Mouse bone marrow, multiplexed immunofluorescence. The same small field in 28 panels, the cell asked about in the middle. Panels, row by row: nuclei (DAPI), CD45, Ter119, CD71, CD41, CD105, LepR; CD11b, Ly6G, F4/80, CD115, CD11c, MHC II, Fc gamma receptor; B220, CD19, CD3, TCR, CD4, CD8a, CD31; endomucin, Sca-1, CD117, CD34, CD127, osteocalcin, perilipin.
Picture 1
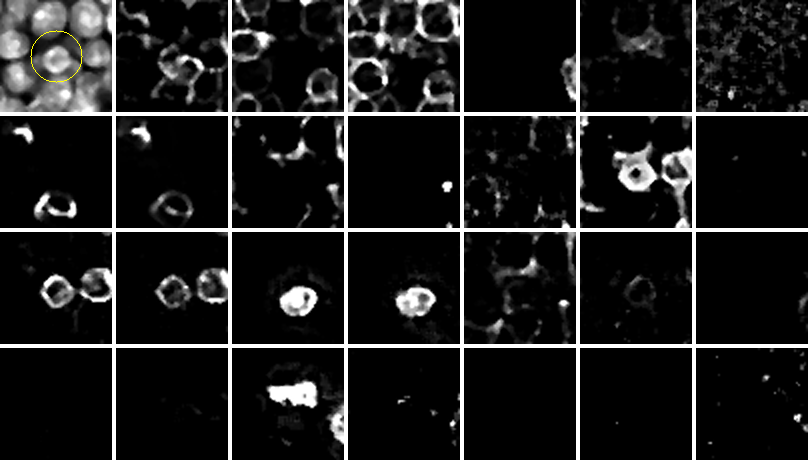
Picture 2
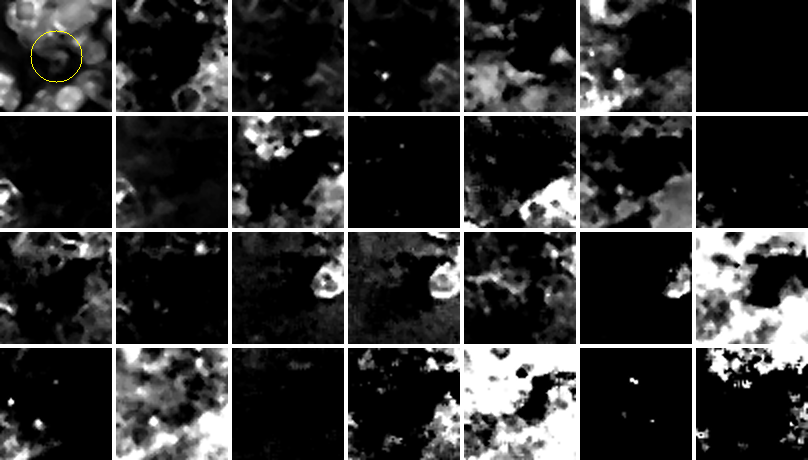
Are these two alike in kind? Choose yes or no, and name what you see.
No. First an erythroid progenitor (CFU-E), second a common lymphoid progenitor.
